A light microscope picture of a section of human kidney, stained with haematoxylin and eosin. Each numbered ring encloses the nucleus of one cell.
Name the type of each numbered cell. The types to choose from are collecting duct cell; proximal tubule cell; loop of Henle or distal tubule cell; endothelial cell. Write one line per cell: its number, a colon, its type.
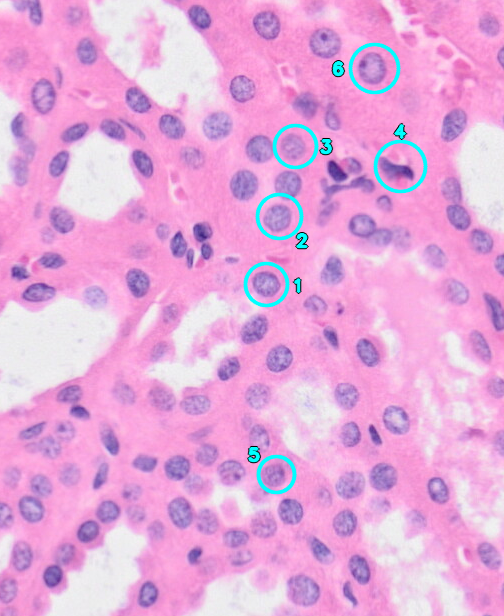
1: loop of Henle or distal tubule cell
2: loop of Henle or distal tubule cell
3: loop of Henle or distal tubule cell
4: endothelial cell
5: loop of Henle or distal tubule cell
6: proximal tubule cell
